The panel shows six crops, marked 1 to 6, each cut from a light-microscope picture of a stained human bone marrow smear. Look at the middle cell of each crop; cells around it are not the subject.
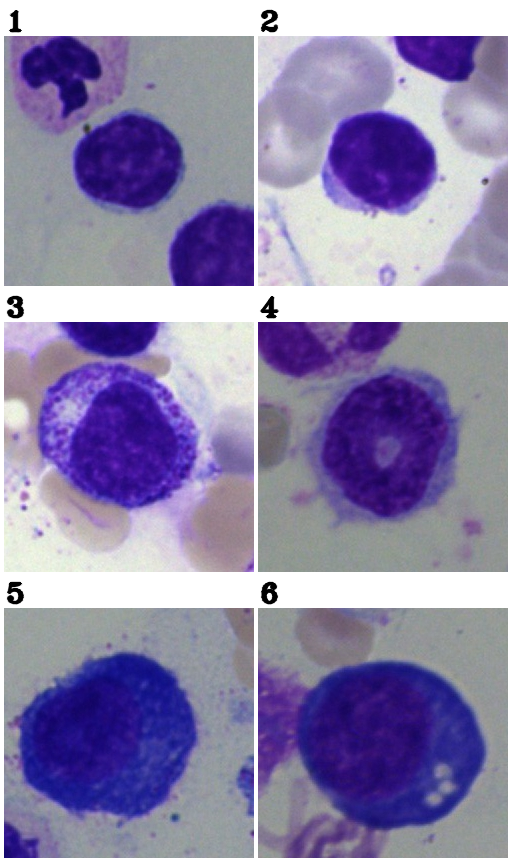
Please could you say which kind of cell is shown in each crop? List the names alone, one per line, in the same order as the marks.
lymphocyte
lymphocyte
myelocyte
monocyte
plasma cell
proerythroblast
